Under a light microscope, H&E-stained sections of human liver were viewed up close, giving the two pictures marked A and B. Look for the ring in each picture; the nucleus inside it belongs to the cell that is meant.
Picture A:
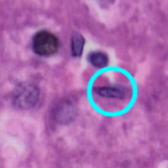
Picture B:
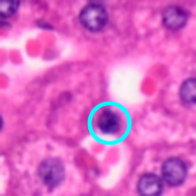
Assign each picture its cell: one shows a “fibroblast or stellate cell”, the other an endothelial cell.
A: endothelial cell
B: fibroblast or stellate cell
